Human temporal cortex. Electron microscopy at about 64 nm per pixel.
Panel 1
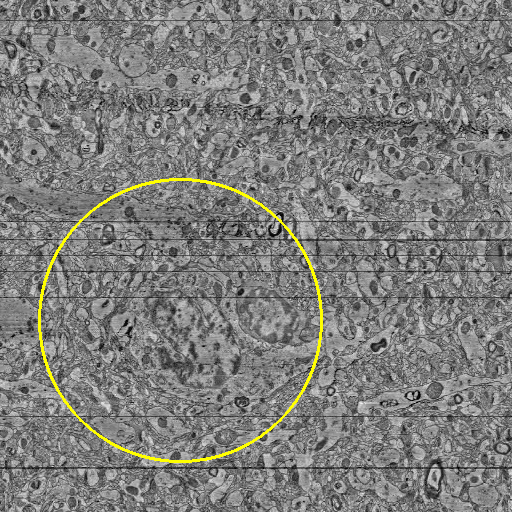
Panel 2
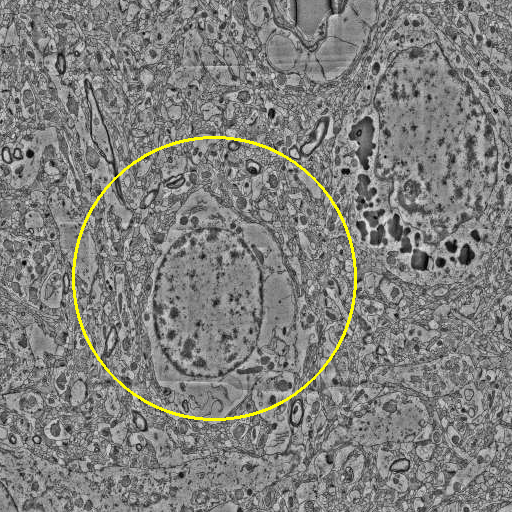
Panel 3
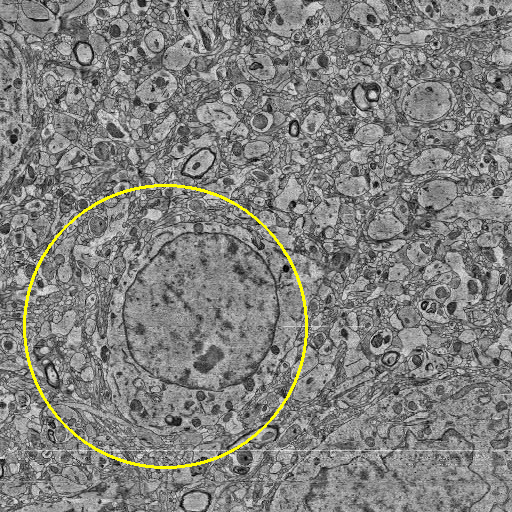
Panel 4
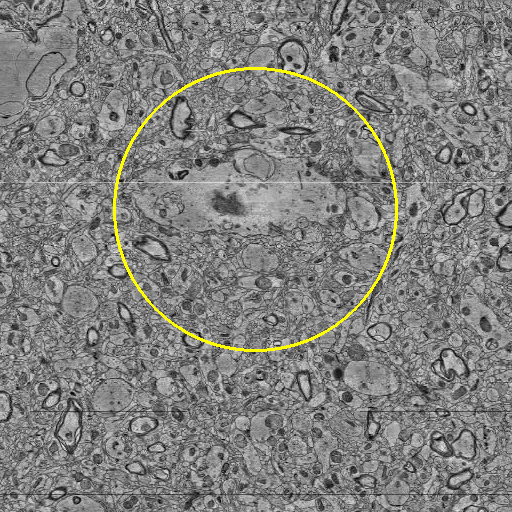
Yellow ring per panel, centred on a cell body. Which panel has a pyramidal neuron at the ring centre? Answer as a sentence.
Panel 3 shows it at the ring centre.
